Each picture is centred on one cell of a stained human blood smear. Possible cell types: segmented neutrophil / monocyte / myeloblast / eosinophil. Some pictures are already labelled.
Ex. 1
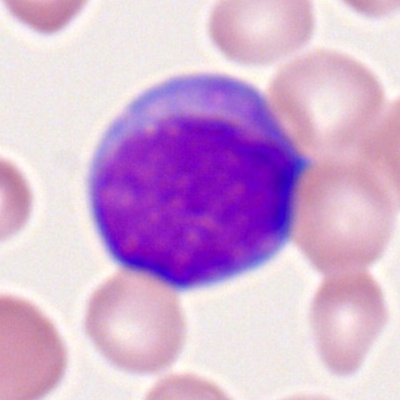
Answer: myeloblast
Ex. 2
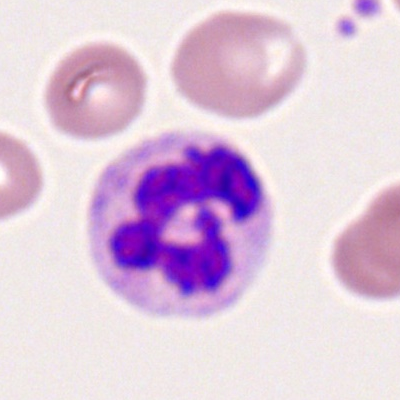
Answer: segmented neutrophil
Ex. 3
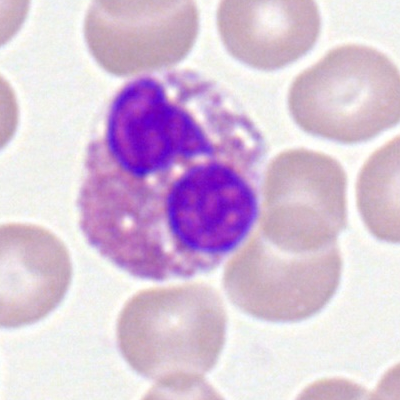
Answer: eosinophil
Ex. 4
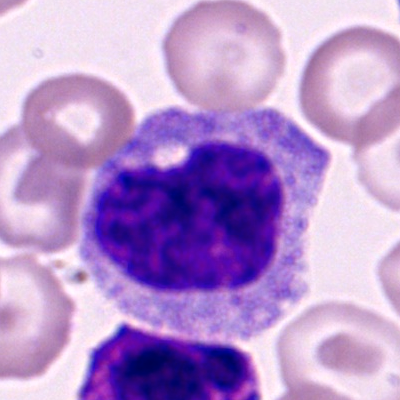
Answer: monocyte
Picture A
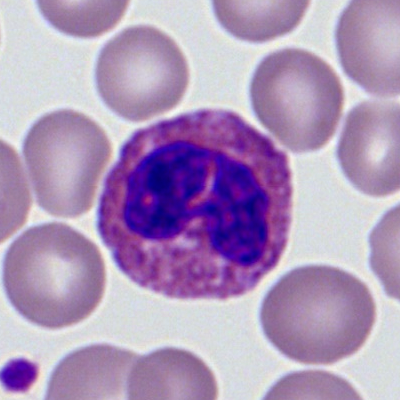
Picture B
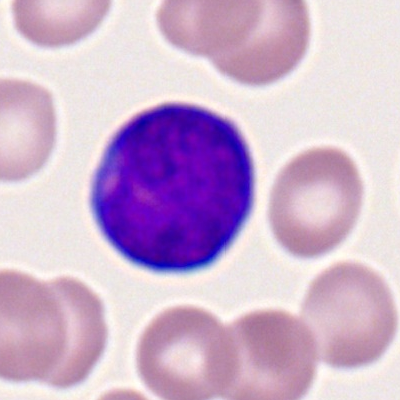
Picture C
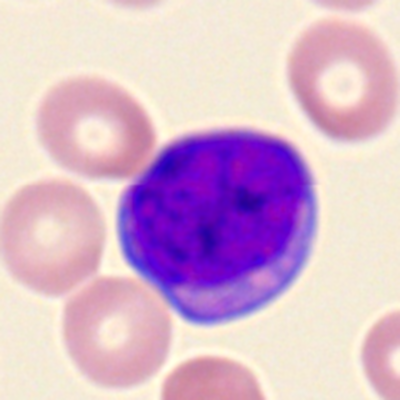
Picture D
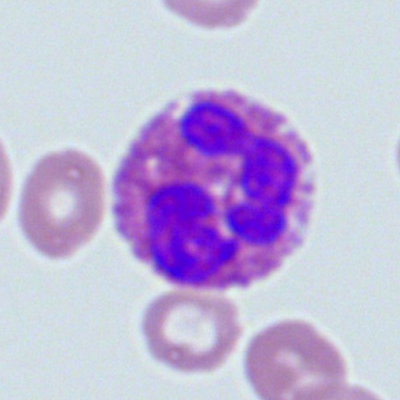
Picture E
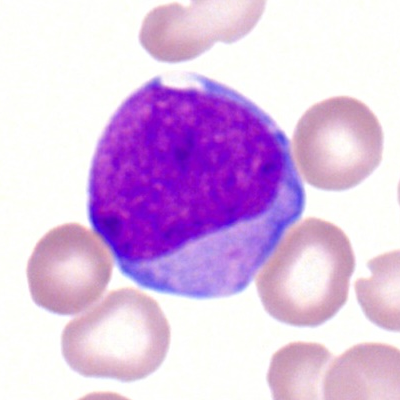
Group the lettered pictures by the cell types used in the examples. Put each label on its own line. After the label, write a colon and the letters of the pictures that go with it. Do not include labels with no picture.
myeloblast: B, C, E
eosinophil: A, D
